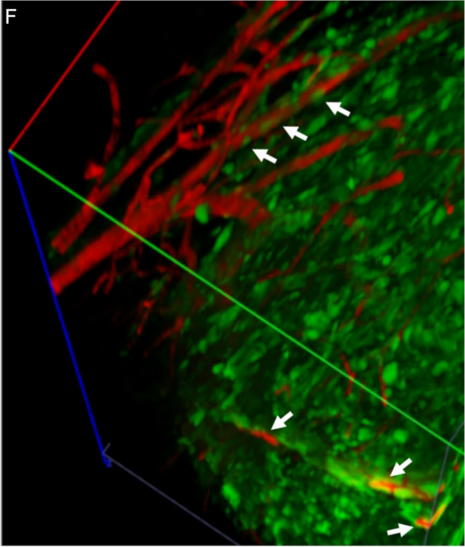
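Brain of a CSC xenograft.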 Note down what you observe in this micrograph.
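The green cells are packed closely in the lower right part of the volume and thin out towards the upper left, where long red vessels run diagonally. Some green cells are elongated and lie flat against the walls of the red vessels, following their course.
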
